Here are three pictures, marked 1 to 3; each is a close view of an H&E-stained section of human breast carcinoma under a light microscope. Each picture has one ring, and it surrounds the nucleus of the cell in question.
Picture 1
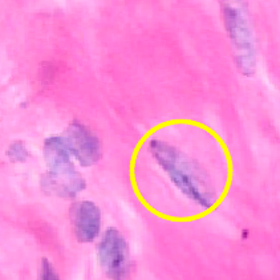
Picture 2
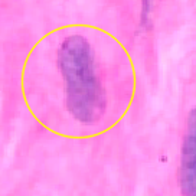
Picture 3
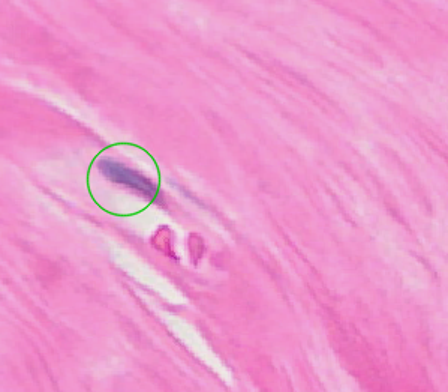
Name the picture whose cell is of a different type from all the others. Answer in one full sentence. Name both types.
Picture 3 is the odd one out: it shows an endothelial cell, while the others show fibroblasts.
